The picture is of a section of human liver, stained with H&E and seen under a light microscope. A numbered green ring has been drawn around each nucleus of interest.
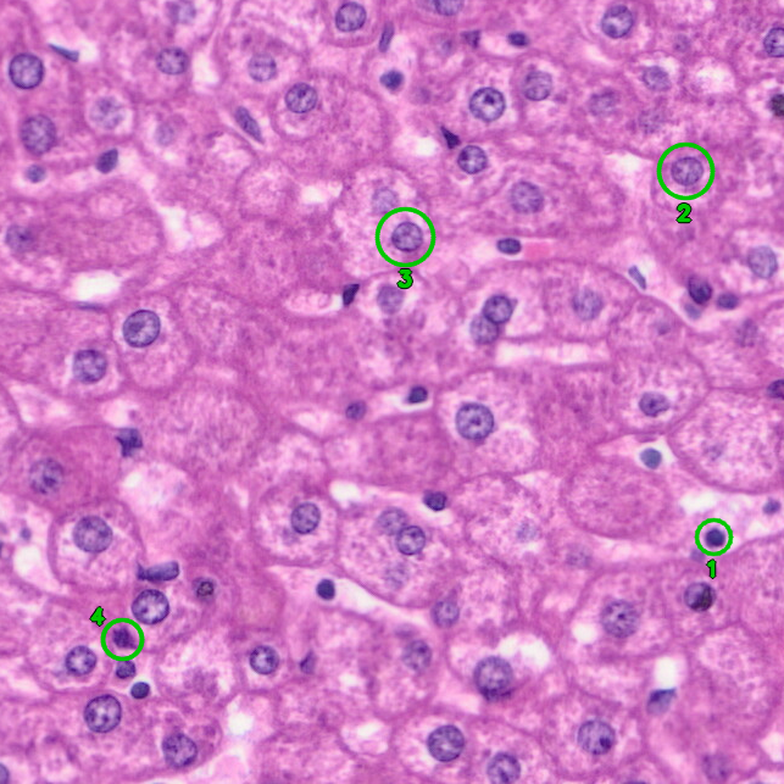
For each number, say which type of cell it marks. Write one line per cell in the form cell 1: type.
cell 1: lymphocyte
cell 2: hepatocyte
cell 3: hepatocyte
cell 4: fibroblast or stellate cell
